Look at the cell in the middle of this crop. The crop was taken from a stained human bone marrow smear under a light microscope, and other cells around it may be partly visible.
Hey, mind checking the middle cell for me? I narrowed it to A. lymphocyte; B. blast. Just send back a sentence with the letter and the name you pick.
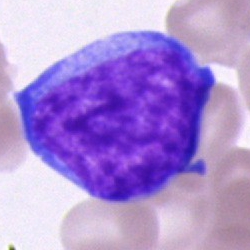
The correct option here is B; the middle cell is a blast.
